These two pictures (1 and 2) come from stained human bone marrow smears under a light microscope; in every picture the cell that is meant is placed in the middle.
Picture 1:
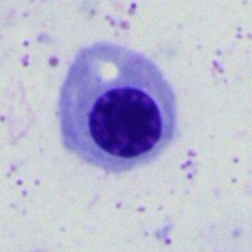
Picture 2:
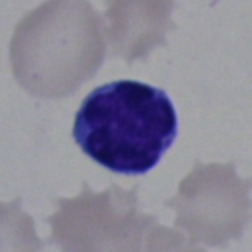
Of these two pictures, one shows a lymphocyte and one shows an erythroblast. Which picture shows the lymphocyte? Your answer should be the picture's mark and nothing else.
2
